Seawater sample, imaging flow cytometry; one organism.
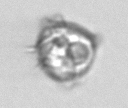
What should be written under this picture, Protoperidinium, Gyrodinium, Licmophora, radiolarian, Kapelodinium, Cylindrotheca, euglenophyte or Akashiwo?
Protoperidinium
